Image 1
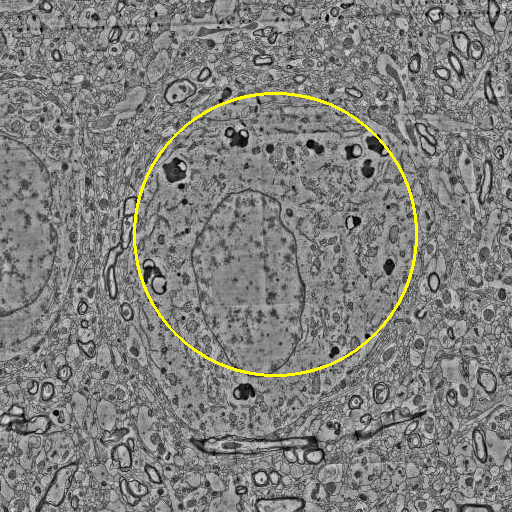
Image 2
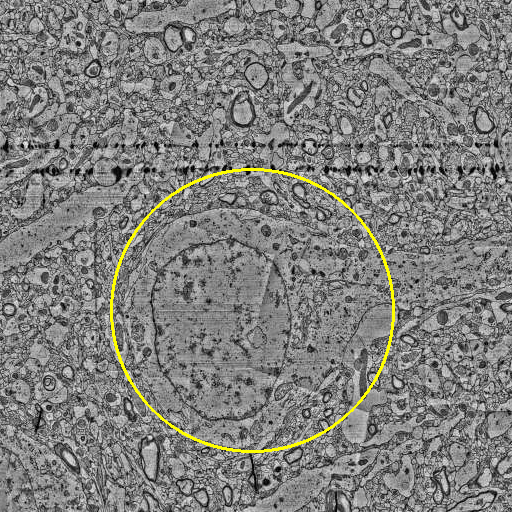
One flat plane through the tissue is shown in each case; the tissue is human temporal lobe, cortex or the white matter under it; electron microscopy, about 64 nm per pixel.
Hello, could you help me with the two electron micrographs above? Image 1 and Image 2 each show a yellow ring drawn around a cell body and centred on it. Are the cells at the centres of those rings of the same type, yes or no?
yes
